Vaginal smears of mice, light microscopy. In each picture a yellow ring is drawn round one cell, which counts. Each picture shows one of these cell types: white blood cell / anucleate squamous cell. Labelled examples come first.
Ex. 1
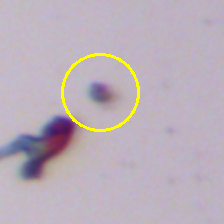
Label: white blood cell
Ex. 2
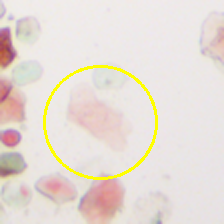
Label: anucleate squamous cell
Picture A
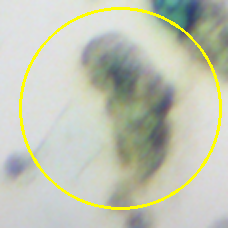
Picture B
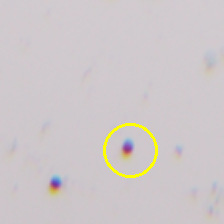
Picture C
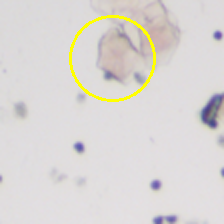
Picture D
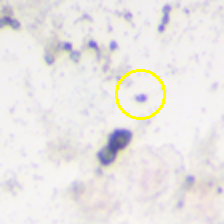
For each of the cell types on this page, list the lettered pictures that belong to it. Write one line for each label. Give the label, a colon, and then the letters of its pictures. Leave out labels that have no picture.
white blood cell: B, D
anucleate squamous cell: A, C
